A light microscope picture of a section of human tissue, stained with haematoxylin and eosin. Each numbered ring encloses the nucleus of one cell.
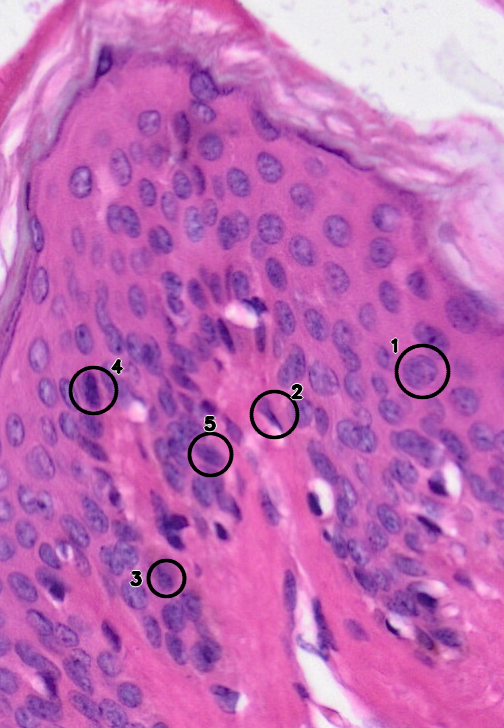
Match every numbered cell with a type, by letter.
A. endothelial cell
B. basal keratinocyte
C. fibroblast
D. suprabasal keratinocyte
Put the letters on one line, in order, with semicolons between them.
D; C; B; B; B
